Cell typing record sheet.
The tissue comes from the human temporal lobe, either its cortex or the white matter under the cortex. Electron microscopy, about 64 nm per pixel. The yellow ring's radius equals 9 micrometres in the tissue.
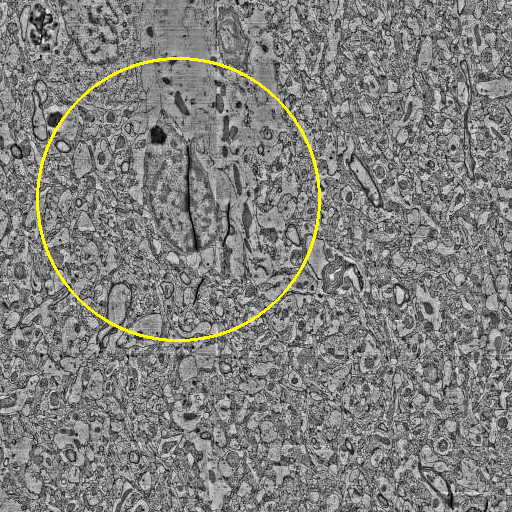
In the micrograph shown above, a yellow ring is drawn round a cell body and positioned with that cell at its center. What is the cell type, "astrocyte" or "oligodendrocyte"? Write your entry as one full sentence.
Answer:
The cell body at the center of the ring belongs to an oligodendrocyte.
